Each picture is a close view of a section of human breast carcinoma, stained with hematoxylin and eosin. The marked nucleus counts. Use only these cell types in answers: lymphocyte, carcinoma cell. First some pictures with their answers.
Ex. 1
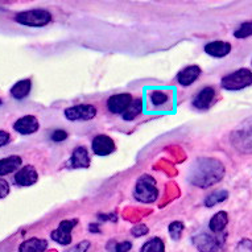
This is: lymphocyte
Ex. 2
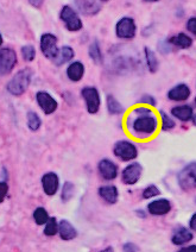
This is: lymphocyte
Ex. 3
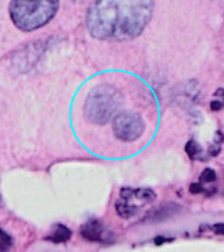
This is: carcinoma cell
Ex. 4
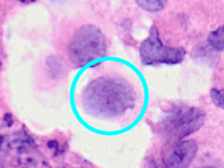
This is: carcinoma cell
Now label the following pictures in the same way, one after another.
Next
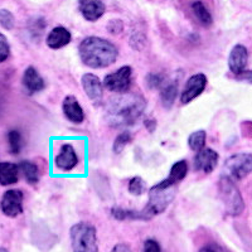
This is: lymphocyte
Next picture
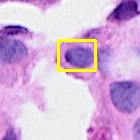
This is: carcinoma cell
